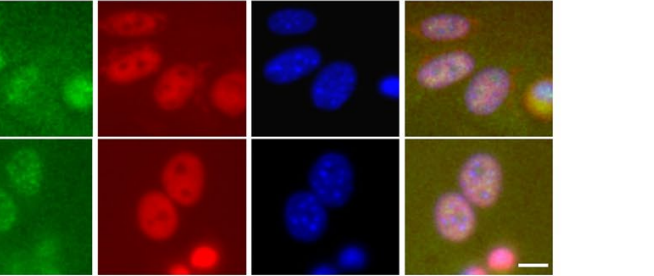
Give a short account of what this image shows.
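These are cultured cells seen at high magnification, shown as a grid with rows side by side. Each cell has a single oval nucleus, outlined clearly by the blue nuclear stain. The green signal is weaker and more speckled, and it also lies over the nuclei. In the merged images the red and green fall on the same nuclei as the blue, giving them a pinkish-purple tone flecked with green. The cell boundaries and cytoplasm are barely visible against the dark background.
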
